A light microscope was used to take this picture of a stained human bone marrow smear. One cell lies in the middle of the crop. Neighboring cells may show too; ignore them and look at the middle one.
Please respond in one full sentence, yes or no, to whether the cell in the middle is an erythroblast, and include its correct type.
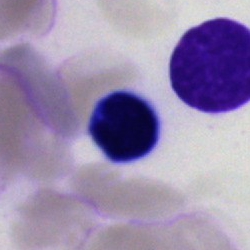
No, the central cell is classed as a lymphocyte and not as an erythroblast.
